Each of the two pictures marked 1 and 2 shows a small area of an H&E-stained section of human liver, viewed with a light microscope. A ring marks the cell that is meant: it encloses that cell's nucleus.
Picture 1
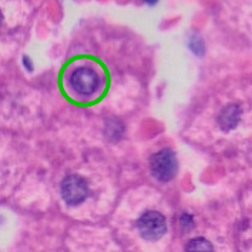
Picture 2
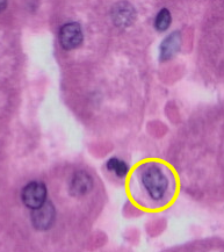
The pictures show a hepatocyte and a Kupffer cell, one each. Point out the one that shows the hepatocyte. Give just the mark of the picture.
1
